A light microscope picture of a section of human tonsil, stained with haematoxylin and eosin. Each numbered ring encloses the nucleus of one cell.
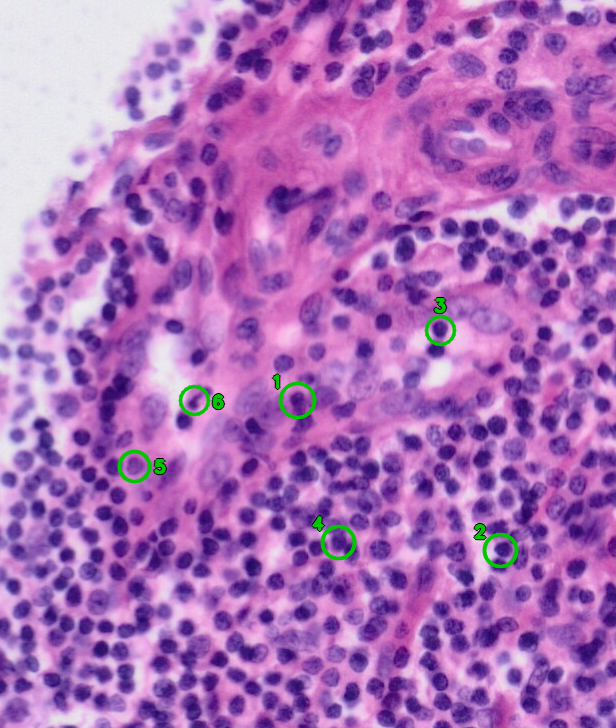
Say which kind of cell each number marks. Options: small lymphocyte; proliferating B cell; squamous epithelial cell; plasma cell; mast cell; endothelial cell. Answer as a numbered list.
1. endothelial cell
2. small lymphocyte
3. endothelial cell
4. small lymphocyte
5. endothelial cell
6. endothelial cell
